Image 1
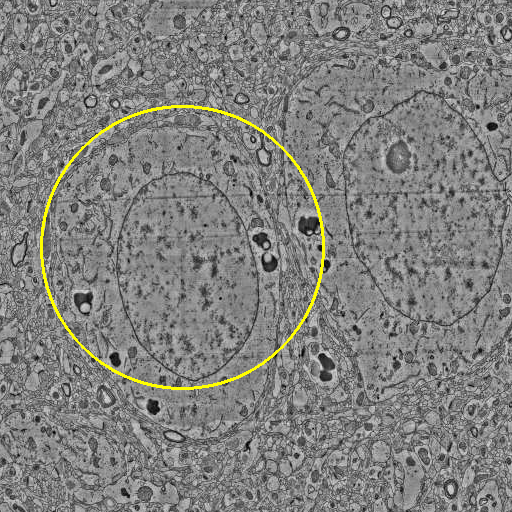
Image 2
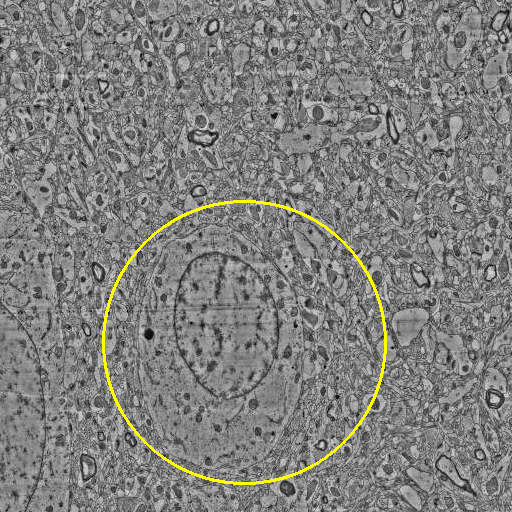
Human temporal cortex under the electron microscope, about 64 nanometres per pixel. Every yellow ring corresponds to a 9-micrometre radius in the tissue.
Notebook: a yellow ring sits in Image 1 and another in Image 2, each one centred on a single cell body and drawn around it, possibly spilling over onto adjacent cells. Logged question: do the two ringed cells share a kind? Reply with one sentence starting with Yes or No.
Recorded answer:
Yes, both centre cells inside the rings of Image 1 and Image 2 share one kind.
